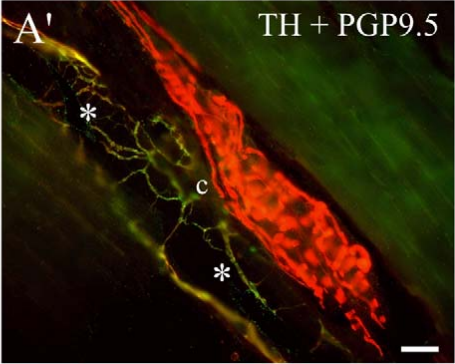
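This shows a muscle spindle lying among skeletal muscle fibres, with its sensory nerve endings in bright red forming densely packed coils and rings that wrap around the intrafusal fibres along the length of the spindle. To the left of it, thin beaded yellow axons branch and run alongside the spindle and over its capsule wall. These fine axons stay outside the red coiled region and do not enter among the intrafusal fibres. Several of them trace the course of small vessels running near the spindle.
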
